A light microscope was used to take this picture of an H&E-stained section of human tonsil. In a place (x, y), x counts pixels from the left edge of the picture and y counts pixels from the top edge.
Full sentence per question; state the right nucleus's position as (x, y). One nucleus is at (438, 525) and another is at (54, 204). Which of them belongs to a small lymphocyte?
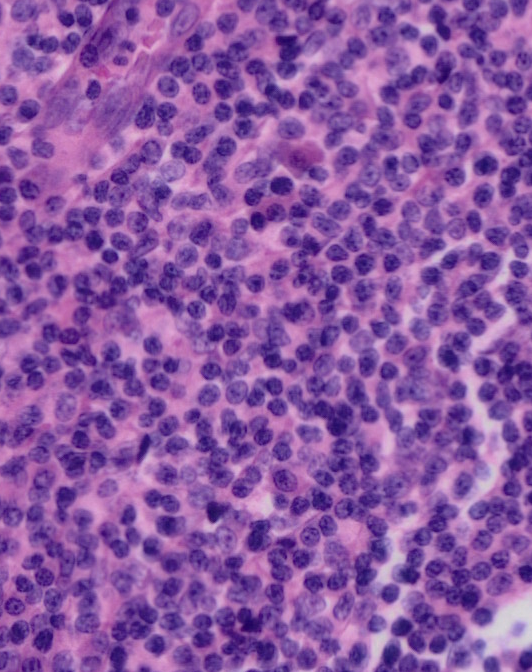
Of the two nuclei, it is the one at (438, 525) that lies within a small lymphocyte.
